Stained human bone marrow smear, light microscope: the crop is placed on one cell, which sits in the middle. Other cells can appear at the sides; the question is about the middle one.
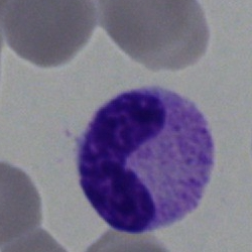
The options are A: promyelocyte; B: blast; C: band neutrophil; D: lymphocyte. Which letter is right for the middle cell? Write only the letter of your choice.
C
